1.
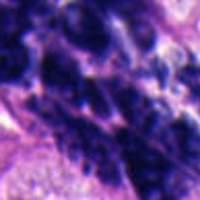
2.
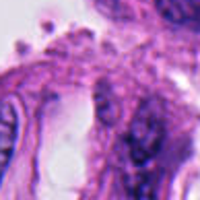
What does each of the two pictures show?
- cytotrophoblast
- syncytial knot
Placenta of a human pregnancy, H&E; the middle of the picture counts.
1: syncytial knot
2: cytotrophoblast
